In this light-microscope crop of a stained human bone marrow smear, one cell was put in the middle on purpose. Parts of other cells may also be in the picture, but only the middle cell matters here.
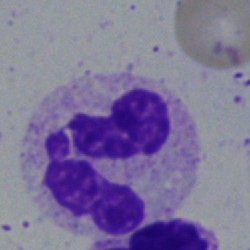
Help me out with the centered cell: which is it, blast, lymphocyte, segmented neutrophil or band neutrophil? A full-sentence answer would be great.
In the central position of this crop, the cell is a segmented neutrophil.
